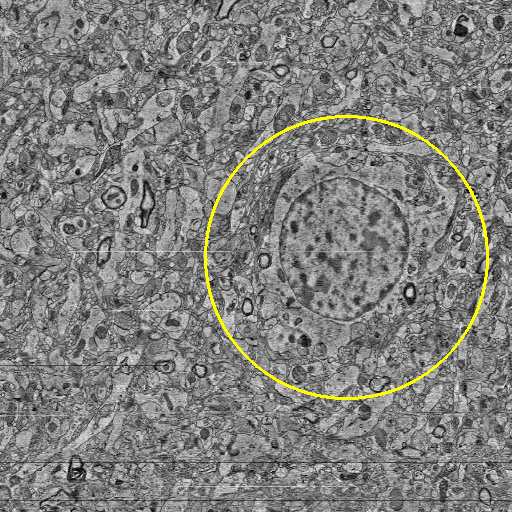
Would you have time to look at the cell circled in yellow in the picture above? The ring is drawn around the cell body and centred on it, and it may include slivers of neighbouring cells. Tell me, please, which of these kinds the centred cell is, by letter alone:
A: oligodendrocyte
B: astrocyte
B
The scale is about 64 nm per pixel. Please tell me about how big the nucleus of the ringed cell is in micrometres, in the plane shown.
The nucleus of the ringed cell is approximately 10 by 8 micrometres in this plane.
